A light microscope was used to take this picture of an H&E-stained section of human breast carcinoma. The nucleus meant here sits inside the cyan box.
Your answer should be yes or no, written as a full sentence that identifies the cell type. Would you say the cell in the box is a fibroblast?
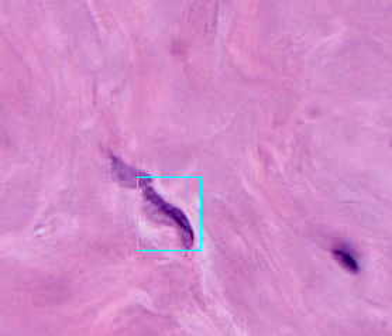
Yes, in terms of cell type, the cell in the box is a fibroblast.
